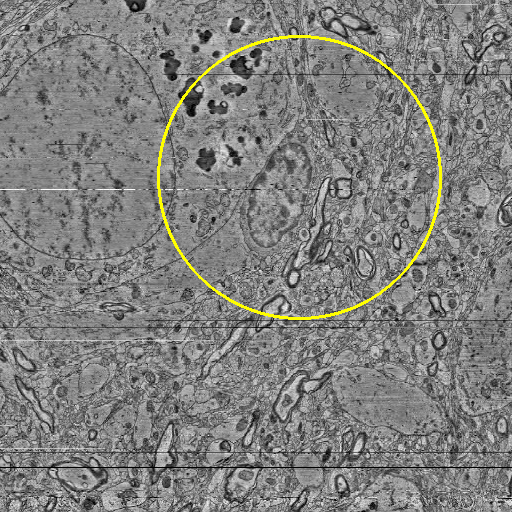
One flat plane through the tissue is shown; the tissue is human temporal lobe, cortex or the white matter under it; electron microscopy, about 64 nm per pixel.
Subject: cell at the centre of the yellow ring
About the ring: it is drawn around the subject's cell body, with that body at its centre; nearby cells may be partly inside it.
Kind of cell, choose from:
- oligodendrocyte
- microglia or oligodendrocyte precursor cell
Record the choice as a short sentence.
The subject cell is an oligodendrocyte.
